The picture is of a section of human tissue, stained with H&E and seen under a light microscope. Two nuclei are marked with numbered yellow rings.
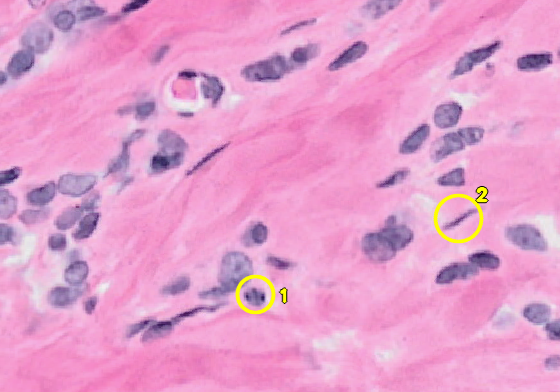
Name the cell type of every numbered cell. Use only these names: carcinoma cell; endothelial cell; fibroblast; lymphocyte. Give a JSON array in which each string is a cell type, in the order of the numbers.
["lymphocyte", "fibroblast"]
